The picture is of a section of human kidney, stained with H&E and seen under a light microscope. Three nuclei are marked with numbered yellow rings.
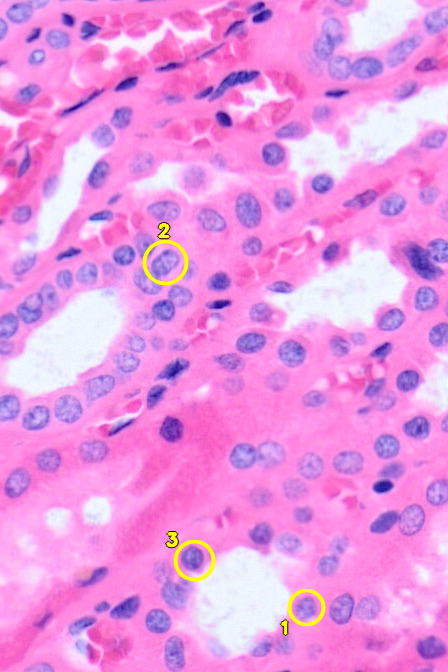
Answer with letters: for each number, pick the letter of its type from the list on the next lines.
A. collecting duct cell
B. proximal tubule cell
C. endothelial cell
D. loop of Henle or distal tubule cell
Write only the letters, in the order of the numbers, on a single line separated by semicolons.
D; A; D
